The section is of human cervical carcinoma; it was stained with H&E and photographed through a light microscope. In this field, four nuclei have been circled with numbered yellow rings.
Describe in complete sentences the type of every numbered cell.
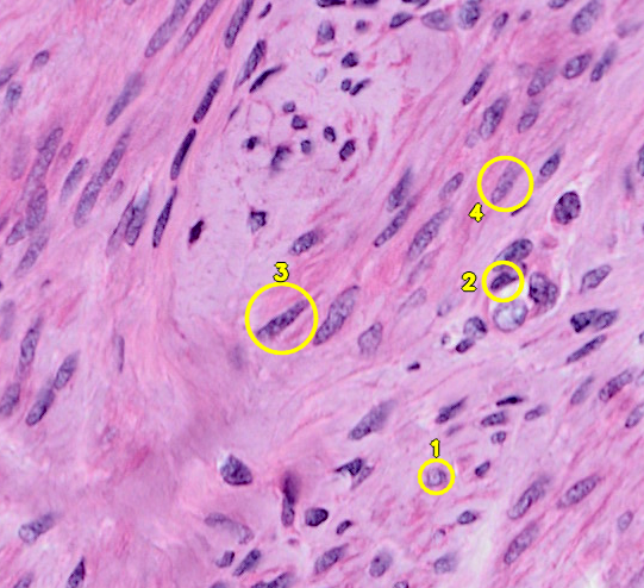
Cells 1, 3 and 4 are smooth muscle cells. Cell 2 is an endothelial cell.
